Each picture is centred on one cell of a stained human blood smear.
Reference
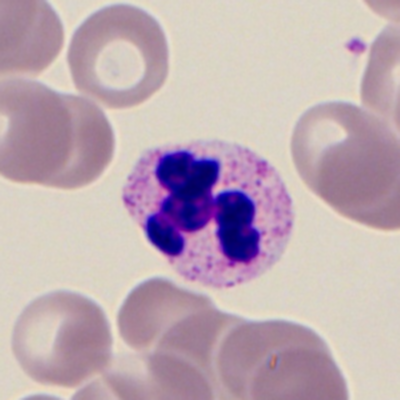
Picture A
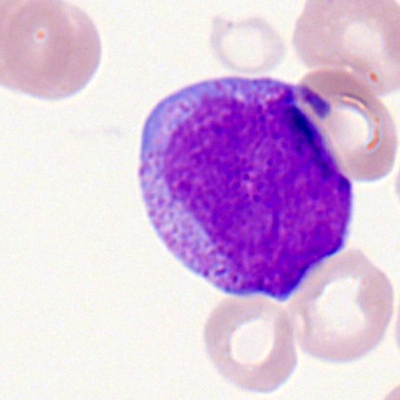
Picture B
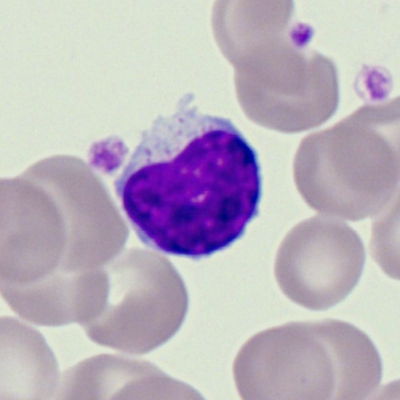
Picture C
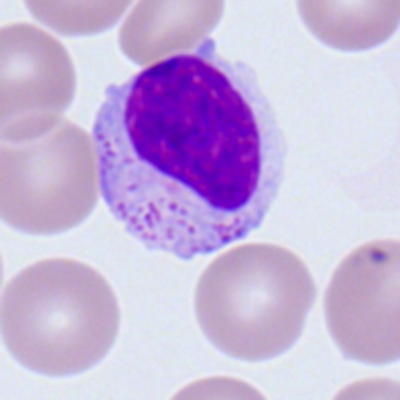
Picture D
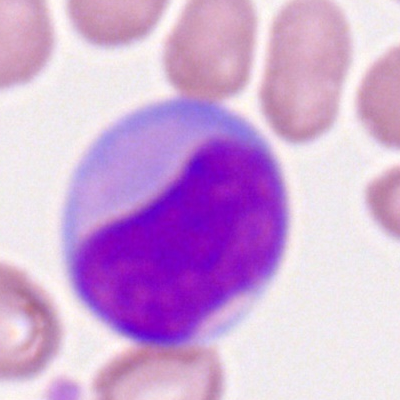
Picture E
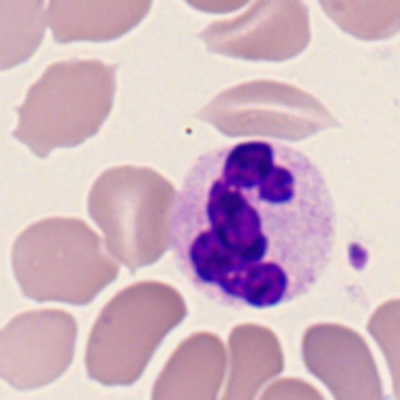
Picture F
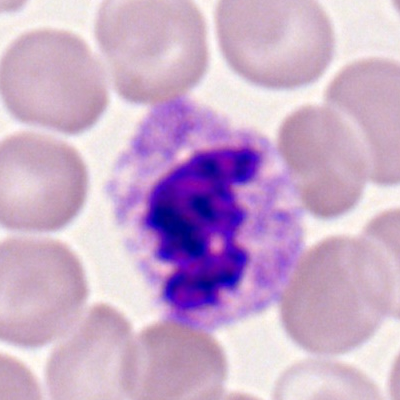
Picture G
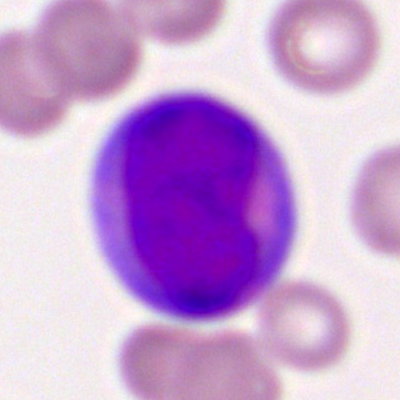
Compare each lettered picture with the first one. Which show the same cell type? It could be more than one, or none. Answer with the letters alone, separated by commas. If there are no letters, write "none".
E, F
